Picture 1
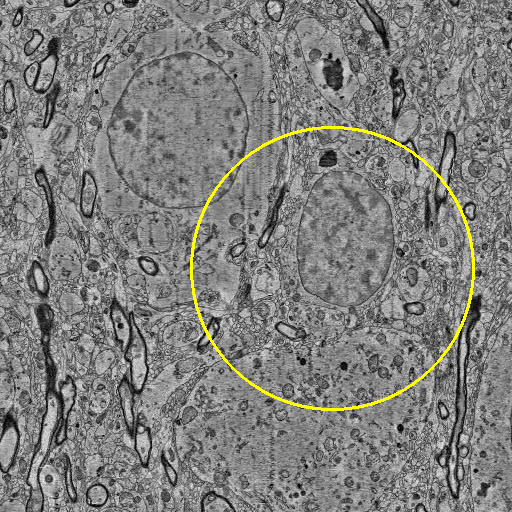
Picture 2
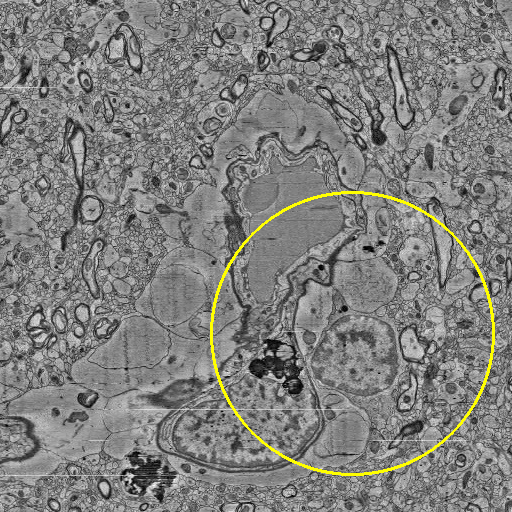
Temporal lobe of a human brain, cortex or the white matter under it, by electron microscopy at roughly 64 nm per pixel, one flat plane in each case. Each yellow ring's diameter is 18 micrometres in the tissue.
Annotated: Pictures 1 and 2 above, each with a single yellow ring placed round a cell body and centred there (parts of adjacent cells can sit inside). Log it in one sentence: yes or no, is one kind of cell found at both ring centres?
Yes, the ring centres of the two pictures hold cells of one kind.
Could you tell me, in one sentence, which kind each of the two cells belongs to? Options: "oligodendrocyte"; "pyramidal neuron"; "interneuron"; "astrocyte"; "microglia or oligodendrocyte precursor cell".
Each of the two pictures has an oligodendrocyte at the ring centre.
